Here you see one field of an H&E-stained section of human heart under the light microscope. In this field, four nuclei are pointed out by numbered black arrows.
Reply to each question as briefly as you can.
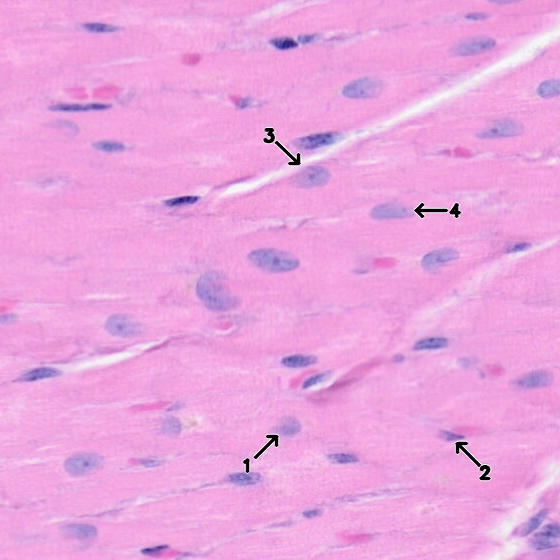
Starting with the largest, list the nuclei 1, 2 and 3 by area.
3, 1, 2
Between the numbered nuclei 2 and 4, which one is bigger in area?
4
